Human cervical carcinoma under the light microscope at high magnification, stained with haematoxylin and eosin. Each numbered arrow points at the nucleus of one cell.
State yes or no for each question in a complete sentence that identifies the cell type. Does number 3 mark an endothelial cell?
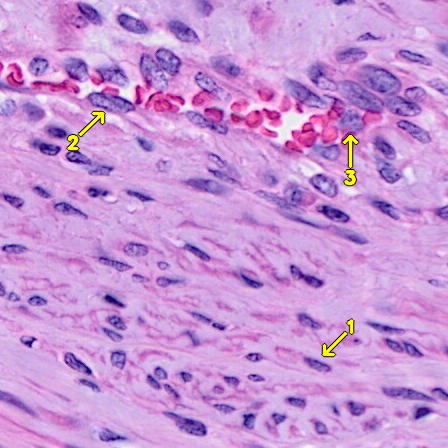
Yes, the cell with the number 3 is an endothelial cell.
